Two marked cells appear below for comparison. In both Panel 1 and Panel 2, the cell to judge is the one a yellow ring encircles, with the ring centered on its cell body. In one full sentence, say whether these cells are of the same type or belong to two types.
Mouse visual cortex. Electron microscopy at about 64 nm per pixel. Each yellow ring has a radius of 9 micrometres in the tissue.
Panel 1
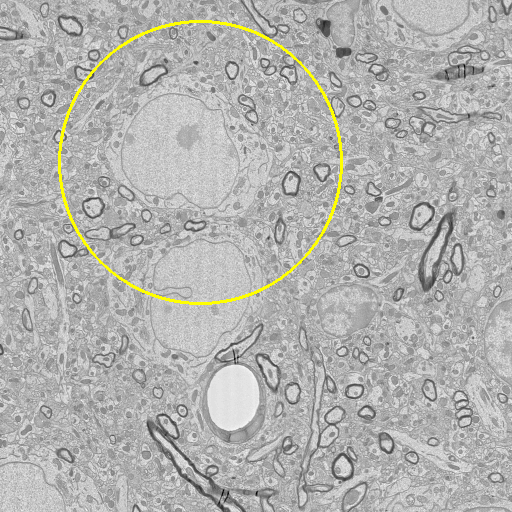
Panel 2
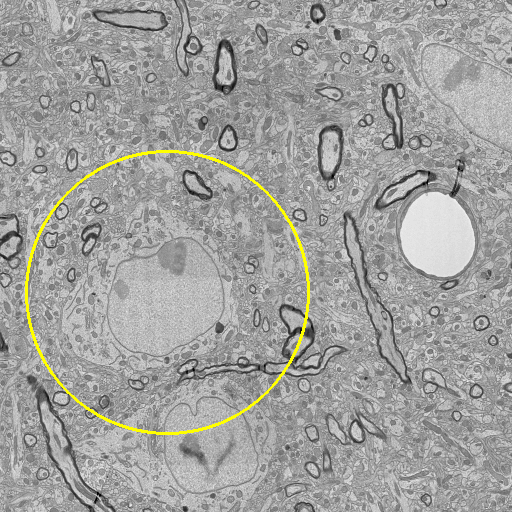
The cell centered in the Panel 1 ring and the one in Panel 2 are of the same type.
